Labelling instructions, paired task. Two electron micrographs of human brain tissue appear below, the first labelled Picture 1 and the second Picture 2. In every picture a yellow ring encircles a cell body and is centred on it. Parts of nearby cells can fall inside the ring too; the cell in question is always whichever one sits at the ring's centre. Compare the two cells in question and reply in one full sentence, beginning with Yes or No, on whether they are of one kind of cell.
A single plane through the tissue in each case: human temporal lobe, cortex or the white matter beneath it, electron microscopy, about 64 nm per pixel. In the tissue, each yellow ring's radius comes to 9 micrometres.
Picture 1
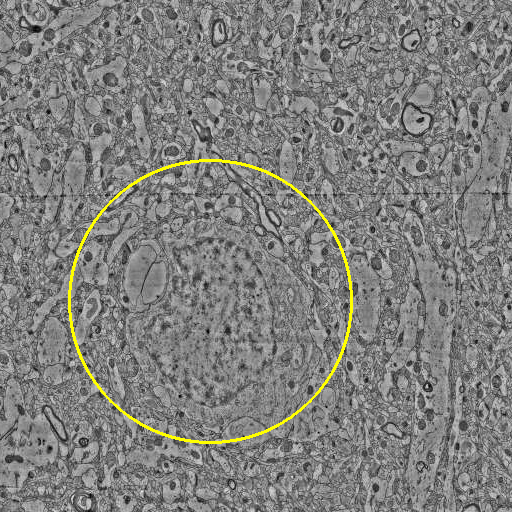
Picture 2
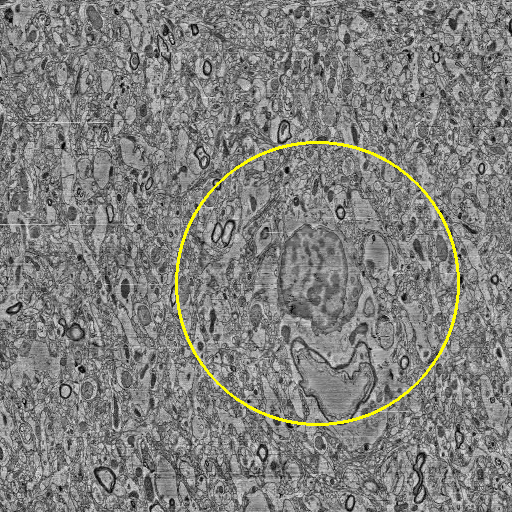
No, the two cells at the ring centres in Picture 1 and Picture 2 are of two kinds.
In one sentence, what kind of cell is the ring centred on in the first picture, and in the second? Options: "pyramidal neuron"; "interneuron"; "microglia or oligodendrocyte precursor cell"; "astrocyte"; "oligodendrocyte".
The cell at the centre of the second ring is an oligodendrocyte; the first ring's cell is an interneuron.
